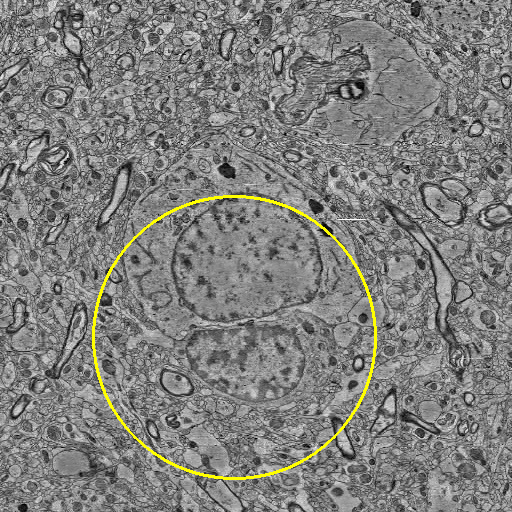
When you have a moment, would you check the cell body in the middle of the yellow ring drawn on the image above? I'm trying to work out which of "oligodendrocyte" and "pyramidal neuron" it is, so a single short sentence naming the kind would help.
This cell body belongs to an oligodendrocyte.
